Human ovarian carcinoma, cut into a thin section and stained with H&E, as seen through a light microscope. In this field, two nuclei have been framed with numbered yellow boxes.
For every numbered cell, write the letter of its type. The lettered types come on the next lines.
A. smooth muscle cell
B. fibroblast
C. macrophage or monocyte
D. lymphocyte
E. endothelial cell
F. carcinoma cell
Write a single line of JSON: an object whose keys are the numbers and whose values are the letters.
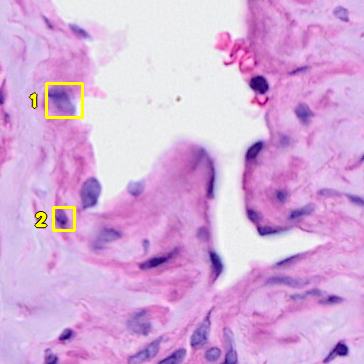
{"1": "E", "2": "A"}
